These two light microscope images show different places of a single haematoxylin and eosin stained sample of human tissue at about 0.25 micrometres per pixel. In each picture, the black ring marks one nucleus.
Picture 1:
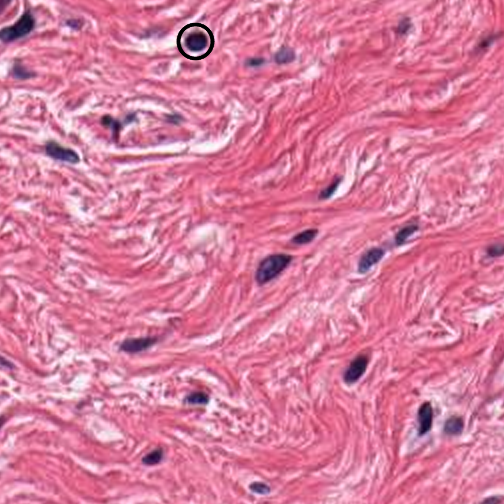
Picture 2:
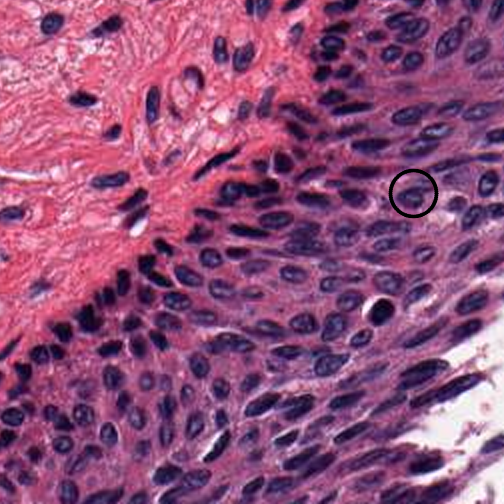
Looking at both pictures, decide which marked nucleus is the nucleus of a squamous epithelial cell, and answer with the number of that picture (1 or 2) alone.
2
